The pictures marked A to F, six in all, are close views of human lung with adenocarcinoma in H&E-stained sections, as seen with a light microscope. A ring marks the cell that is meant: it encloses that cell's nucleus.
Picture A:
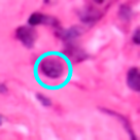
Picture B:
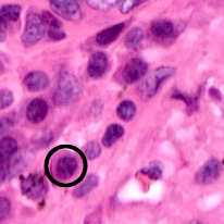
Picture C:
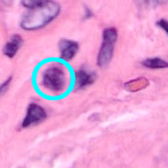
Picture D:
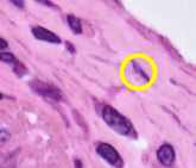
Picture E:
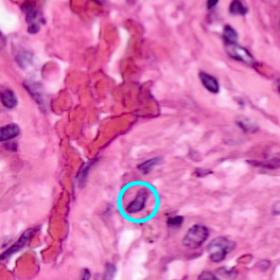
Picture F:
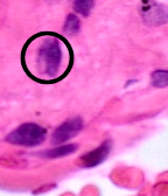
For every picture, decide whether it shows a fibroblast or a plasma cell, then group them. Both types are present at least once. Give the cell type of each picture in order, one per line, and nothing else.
plasma cell
plasma cell
plasma cell
fibroblast
plasma cell
fibroblast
